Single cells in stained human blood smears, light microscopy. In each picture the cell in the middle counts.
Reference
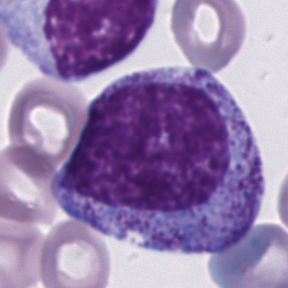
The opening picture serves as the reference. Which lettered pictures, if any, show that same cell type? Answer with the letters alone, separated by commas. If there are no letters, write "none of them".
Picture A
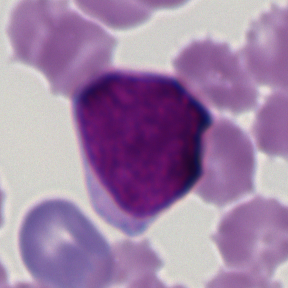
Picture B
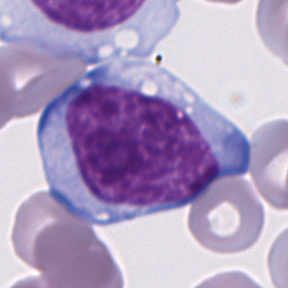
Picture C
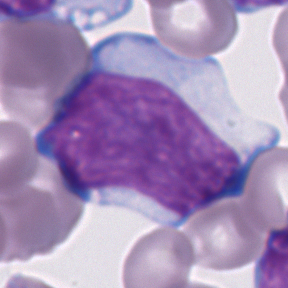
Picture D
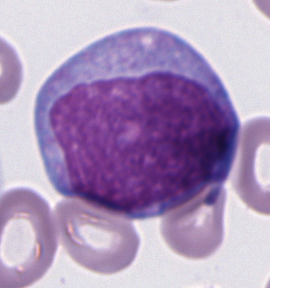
D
